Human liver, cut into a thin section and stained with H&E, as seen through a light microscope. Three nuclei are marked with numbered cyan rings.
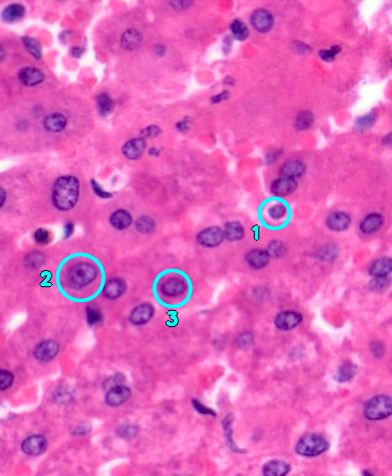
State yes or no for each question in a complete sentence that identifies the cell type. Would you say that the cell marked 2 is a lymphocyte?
No, cell 2 is identified not as a lymphocyte but as a hepatocyte.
